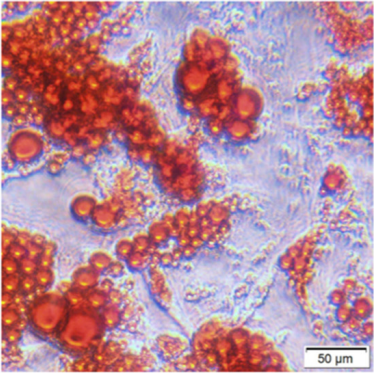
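Cytoplasm is packed with numerous round, refractile lipid droplets stained red to orange, ranging from small granules to large spheres several times bigger. Droplets crowd together in dense clusters and bands, with the largest droplets sitting among or beside masses of smaller ones. Between the clusters lies pale, unstained, bluish-grey background with faint outlines of flattened cells lacking droplets. Cell borders and nuclei are hard to make out beneath the droplets.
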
